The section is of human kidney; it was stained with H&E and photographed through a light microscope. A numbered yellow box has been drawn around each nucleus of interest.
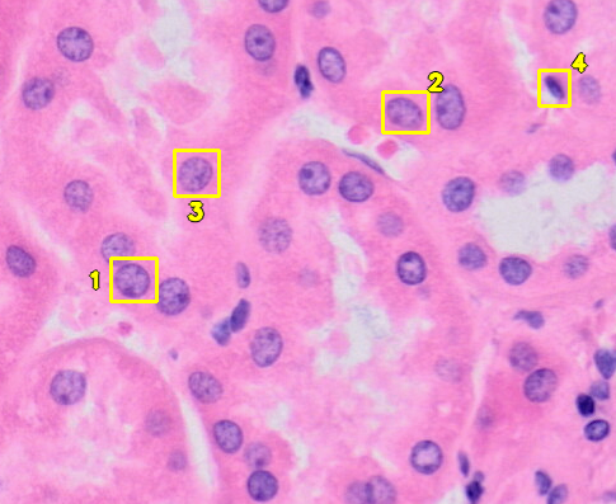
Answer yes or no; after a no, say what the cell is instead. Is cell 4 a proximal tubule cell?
No, it is an endothelial cell.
